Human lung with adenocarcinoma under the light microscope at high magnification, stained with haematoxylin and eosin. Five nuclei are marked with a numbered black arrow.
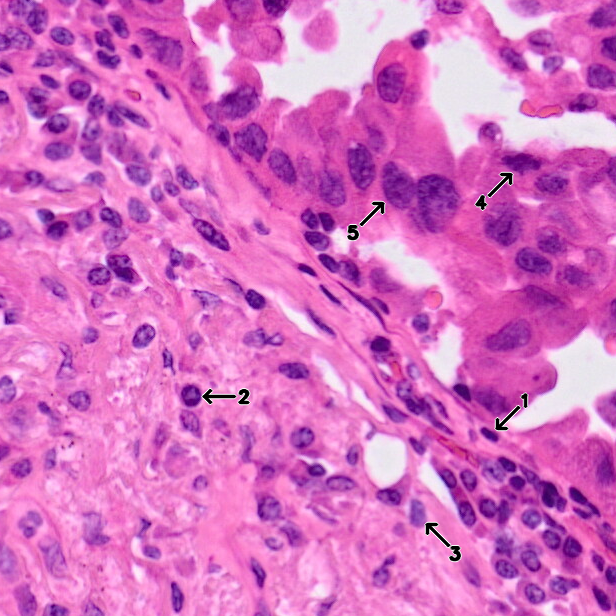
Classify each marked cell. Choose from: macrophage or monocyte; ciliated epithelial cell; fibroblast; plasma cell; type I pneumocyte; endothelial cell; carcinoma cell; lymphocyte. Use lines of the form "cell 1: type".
cell 1: lymphocyte
cell 2: plasma cell
cell 3: lymphocyte
cell 4: carcinoma cell
cell 5: carcinoma cell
